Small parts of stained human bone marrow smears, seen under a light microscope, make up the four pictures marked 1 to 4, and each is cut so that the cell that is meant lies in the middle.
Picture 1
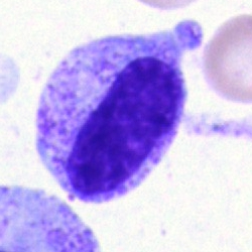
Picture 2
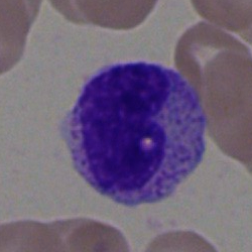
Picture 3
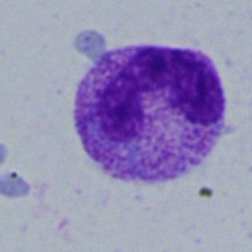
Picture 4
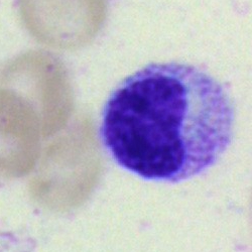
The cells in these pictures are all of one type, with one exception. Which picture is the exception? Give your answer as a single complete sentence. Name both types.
All pictures except 3 show metamyelocytes; picture 3 shows a band neutrophil.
